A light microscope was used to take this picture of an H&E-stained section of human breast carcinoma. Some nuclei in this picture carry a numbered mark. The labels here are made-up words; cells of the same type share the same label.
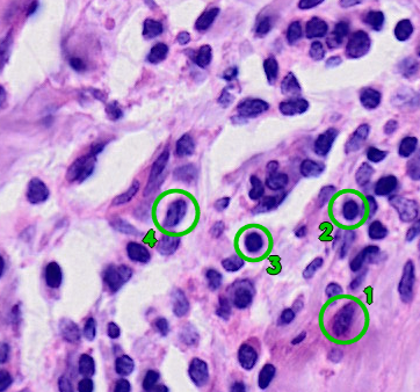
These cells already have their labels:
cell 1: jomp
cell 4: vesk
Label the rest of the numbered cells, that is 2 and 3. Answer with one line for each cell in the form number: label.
2: vesk
3: vesk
